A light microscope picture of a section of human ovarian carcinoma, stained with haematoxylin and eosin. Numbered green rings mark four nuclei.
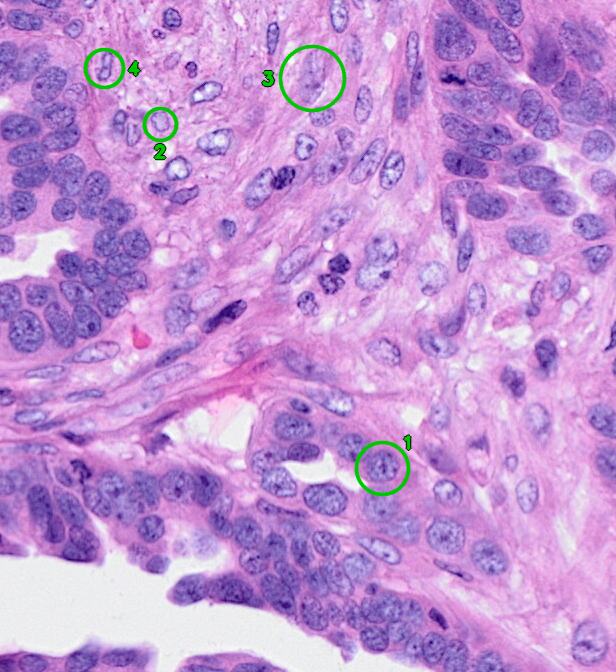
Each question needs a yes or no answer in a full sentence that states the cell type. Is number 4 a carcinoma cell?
No, number 4 corresponds to a fibroblast, not a carcinoma cell.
